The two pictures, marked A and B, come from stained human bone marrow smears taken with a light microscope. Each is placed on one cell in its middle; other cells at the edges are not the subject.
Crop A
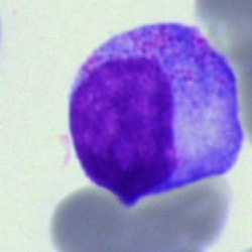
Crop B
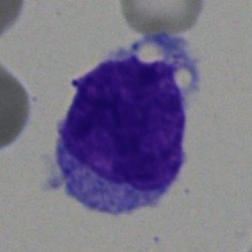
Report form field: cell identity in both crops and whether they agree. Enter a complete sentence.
No, crop A captures a promyelocyte, and crop B captures a blast.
